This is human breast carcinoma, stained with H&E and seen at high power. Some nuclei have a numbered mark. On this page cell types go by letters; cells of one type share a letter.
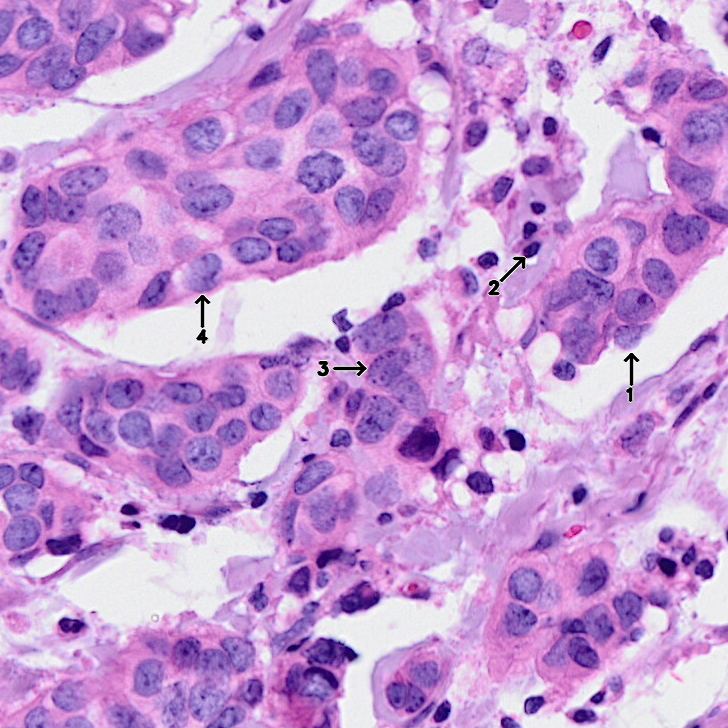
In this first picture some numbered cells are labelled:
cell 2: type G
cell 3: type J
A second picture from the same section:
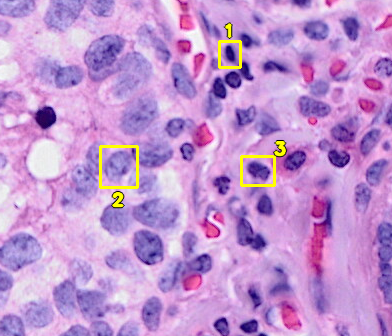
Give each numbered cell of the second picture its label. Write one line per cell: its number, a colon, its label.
1: type G
2: type J
3: type G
